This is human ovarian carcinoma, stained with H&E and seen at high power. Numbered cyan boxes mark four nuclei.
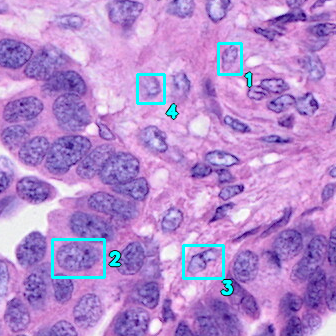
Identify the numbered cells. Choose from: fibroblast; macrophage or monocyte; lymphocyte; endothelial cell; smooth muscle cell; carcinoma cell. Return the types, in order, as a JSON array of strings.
["fibroblast", "carcinoma cell", "fibroblast", "fibroblast"]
